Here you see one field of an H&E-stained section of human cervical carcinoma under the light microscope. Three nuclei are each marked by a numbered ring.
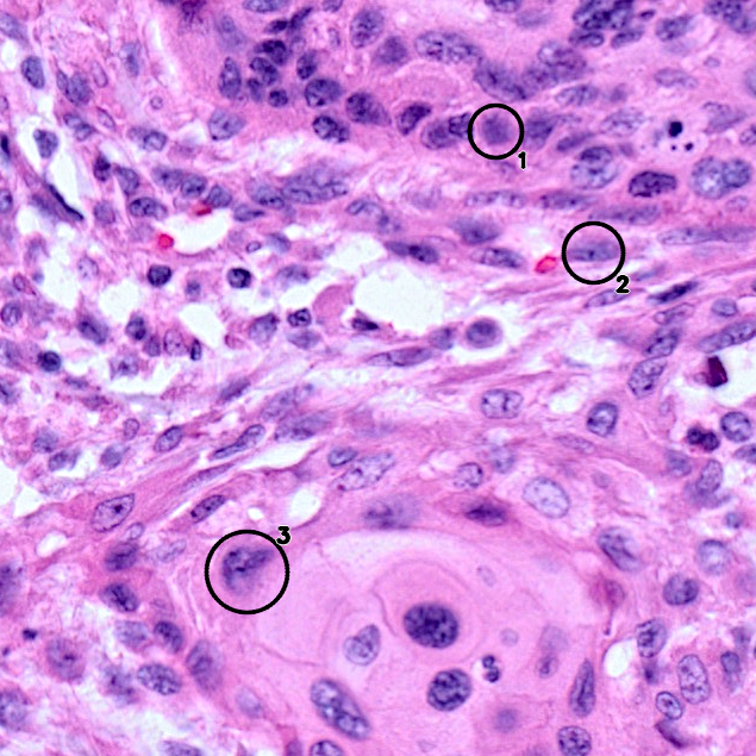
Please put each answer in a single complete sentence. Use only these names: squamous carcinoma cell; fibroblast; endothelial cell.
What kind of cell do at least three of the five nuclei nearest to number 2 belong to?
Fibroblasts make up most of the five nuclei closest to number 2.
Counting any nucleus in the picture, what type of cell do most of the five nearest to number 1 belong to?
The majority of the five nuclei closest to number 1 belong to squamous carcinoma cells.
